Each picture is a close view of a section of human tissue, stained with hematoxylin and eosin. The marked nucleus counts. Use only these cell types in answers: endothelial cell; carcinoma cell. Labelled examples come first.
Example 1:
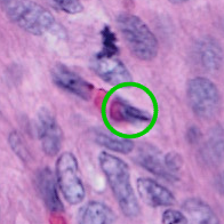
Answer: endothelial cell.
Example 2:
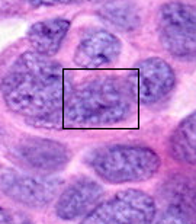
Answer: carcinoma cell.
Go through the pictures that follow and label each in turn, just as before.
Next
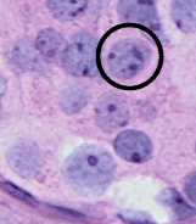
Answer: carcinoma cell.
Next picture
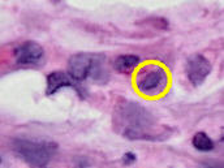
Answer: endothelial cell.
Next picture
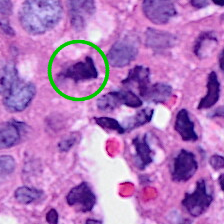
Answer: carcinoma cell.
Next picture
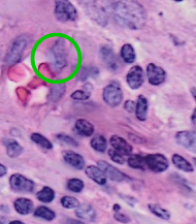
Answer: endothelial cell.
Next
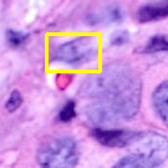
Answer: endothelial cell.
